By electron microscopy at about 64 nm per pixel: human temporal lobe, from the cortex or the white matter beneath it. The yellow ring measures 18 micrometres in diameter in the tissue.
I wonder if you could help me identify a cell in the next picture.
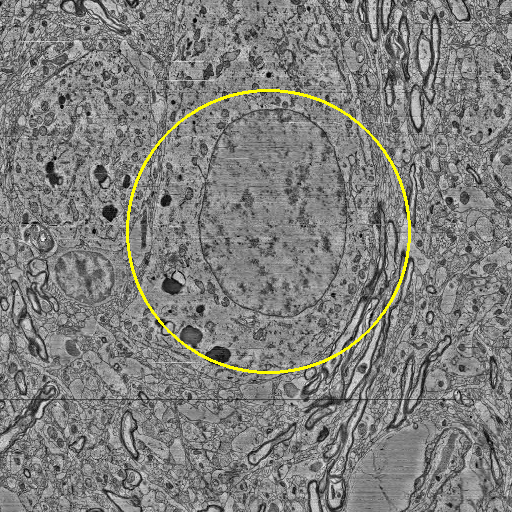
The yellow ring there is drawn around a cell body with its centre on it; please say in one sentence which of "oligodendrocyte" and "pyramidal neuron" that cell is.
The yellow ring is centred on a pyramidal neuron.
